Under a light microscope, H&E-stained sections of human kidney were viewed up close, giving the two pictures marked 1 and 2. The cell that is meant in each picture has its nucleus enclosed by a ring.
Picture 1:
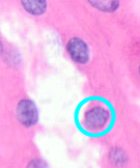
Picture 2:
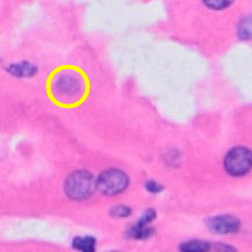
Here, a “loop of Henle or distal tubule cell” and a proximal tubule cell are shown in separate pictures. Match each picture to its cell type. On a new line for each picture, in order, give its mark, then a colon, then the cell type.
1: loop of Henle or distal tubule cell
2: proximal tubule cell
